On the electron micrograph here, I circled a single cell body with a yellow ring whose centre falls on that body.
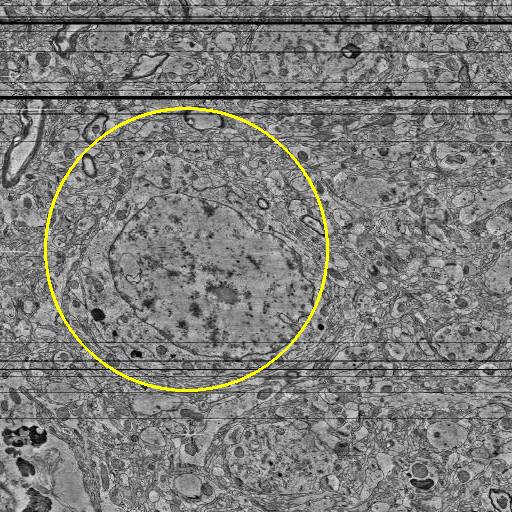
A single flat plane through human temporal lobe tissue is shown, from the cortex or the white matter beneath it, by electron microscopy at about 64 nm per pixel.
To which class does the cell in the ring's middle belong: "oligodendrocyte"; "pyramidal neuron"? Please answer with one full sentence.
In this picture, the cell body circled at the ring's centre belongs to a pyramidal neuron.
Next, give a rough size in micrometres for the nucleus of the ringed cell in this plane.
Roughly 13 micrometres by 11 micrometres, in this plane.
